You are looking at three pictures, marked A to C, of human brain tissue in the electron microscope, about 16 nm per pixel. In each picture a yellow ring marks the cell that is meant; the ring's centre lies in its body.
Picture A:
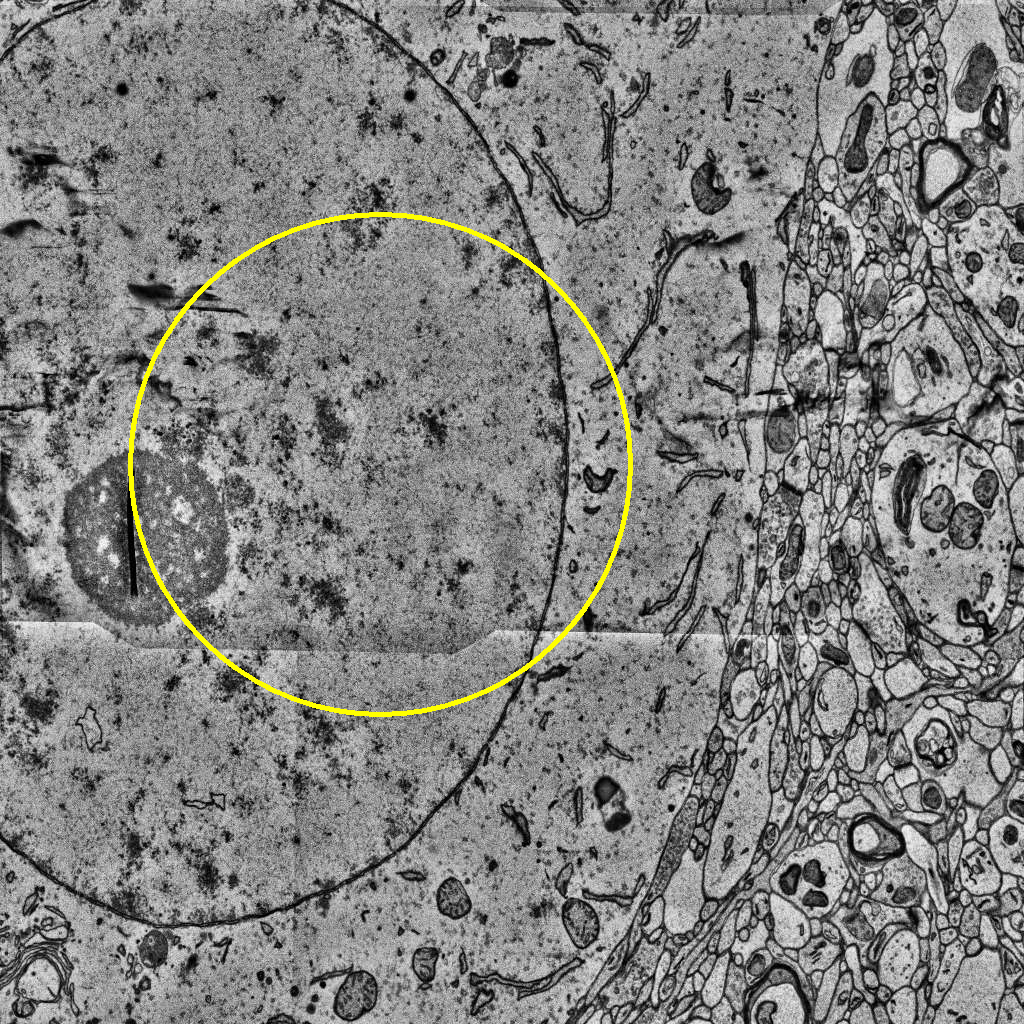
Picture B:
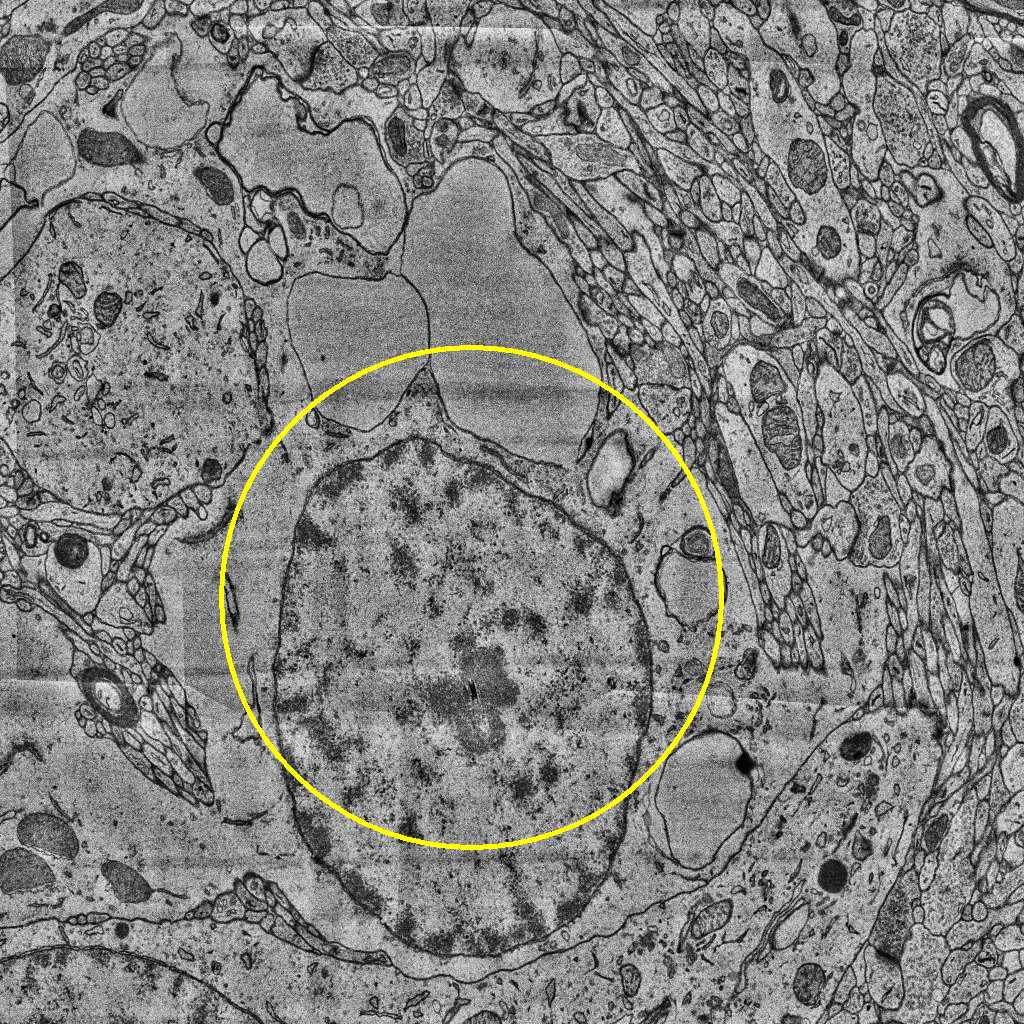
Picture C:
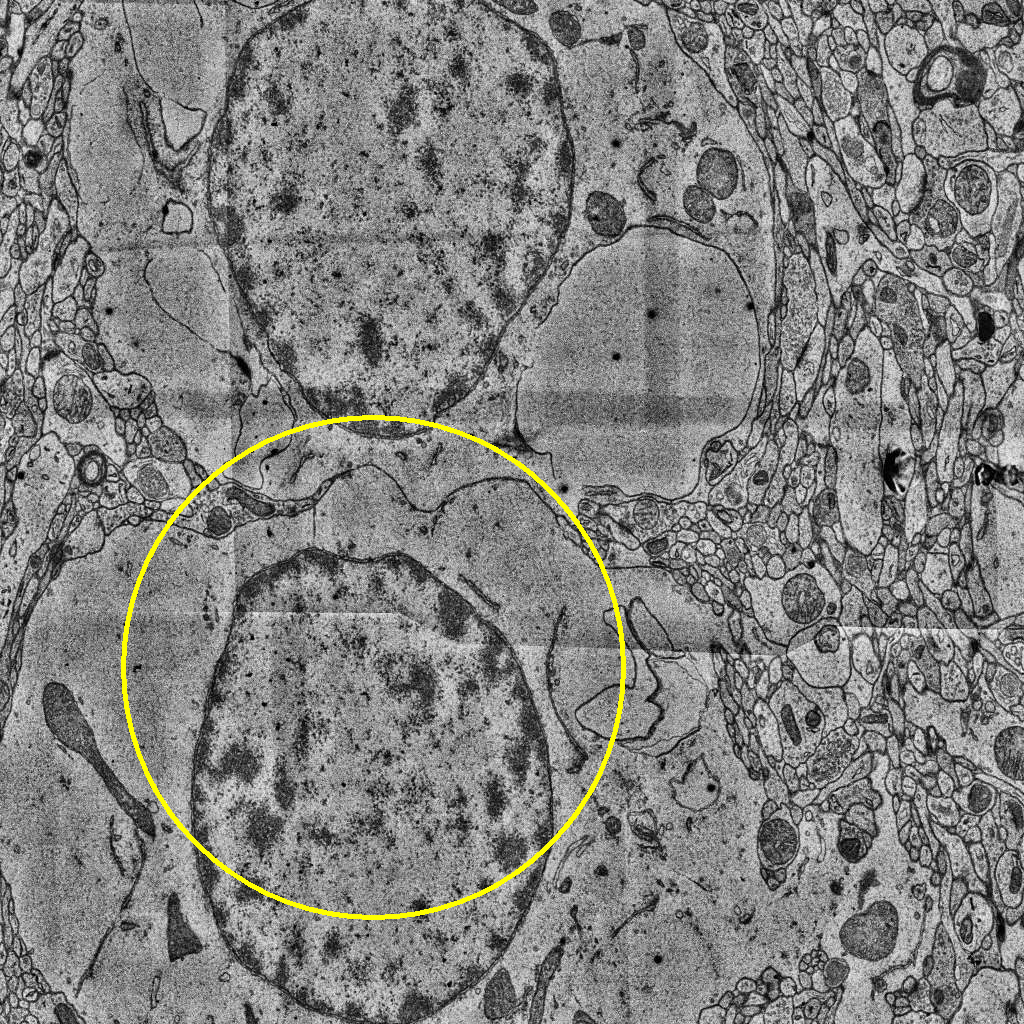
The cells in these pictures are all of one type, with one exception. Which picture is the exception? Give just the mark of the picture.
A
